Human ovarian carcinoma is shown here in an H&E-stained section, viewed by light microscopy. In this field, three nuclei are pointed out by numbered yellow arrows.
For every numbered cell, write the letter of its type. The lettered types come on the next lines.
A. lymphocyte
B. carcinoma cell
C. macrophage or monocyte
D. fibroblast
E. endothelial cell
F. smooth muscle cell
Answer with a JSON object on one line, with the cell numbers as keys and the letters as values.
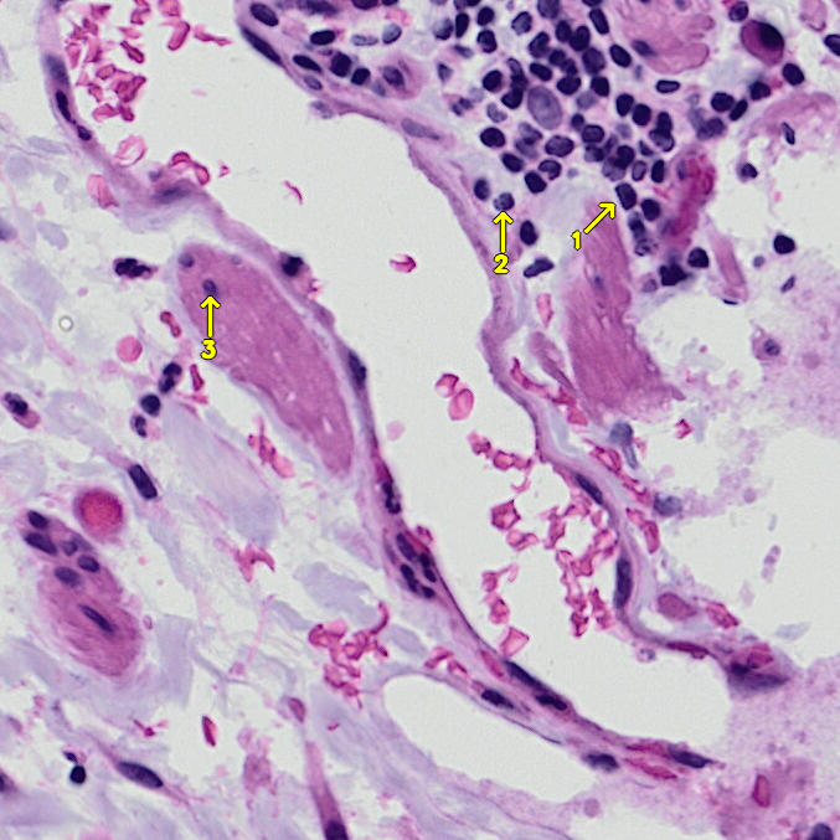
{"1": "A", "2": "A", "3": "F"}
